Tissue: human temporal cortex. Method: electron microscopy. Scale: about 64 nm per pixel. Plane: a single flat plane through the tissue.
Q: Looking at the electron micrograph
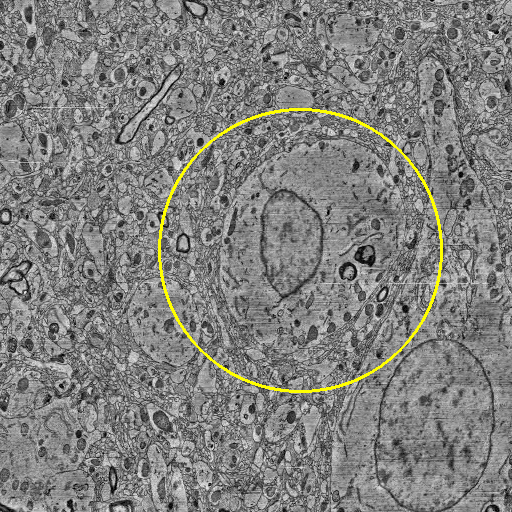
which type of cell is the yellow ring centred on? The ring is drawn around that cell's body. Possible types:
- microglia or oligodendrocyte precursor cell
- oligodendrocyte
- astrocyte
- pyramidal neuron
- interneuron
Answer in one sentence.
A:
The yellow ring is centred on a pyramidal neuron.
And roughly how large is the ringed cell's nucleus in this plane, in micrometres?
The nucleus measures about 7 by 4 micrometres, so it is clearly longer than it is wide in this plane.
